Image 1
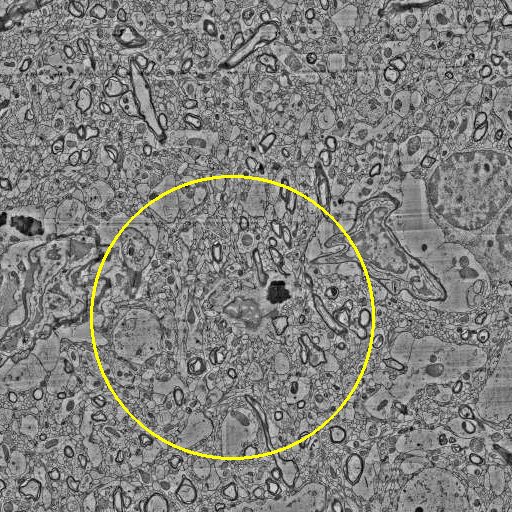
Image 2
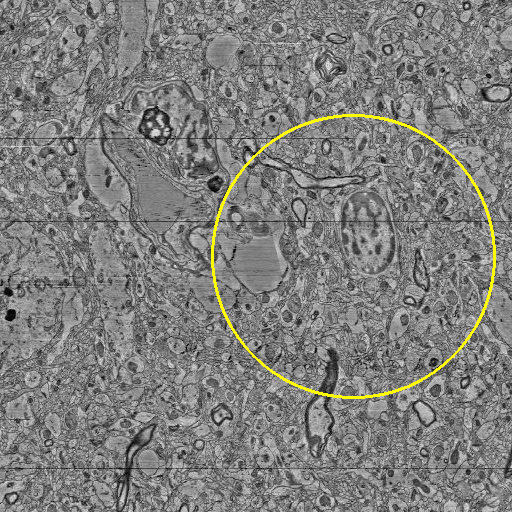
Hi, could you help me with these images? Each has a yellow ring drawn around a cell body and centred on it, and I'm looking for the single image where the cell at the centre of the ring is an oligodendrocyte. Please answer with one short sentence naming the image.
It is Image 1 that has it at the centre of its ring.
